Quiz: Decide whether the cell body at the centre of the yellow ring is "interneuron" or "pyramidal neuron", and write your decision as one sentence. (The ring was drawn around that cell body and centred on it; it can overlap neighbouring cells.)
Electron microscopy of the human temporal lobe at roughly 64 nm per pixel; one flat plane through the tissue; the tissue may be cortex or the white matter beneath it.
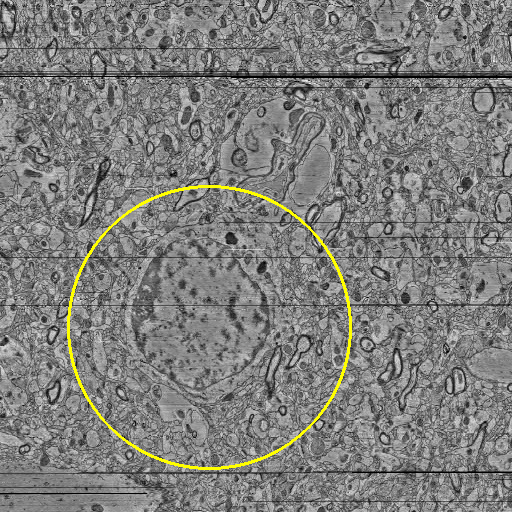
The cell the ring is centred on is an interneuron.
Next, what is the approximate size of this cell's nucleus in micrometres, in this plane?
About 10 by 9 micrometres in this plane.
